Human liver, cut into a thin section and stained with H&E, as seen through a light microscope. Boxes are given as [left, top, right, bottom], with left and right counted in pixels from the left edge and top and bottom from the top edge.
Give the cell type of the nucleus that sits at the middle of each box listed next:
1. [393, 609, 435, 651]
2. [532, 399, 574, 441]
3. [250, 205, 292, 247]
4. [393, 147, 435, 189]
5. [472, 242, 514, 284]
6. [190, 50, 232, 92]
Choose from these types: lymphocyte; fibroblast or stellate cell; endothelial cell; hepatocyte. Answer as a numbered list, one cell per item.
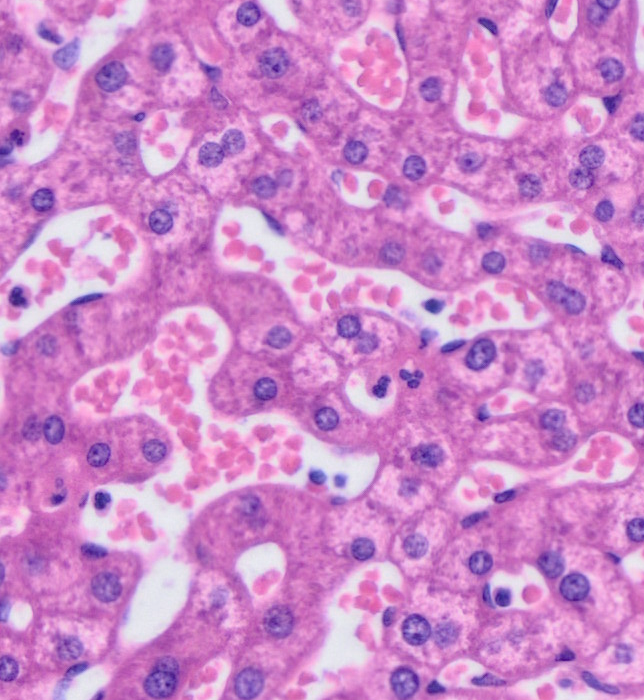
1. hepatocyte
2. hepatocyte
3. endothelial cell
4. hepatocyte
5. hepatocyte
6. endothelial cell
